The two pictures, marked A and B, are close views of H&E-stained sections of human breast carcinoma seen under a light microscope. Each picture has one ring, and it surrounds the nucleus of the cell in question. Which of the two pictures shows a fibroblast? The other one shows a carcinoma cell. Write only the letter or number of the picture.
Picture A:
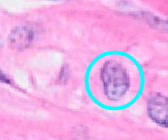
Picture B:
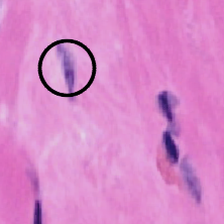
B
